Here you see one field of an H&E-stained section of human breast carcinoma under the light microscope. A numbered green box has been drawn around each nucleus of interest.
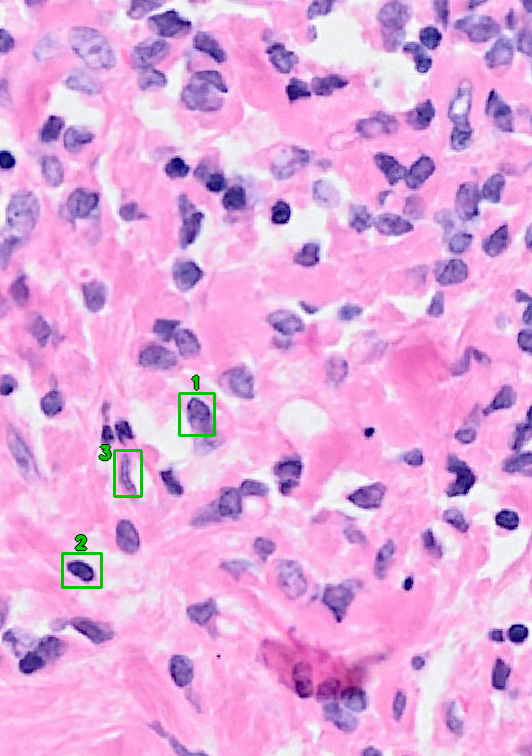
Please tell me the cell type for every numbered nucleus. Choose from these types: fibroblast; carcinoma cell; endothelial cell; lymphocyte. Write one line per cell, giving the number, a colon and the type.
1: carcinoma cell
2: lymphocyte
3: endothelial cell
